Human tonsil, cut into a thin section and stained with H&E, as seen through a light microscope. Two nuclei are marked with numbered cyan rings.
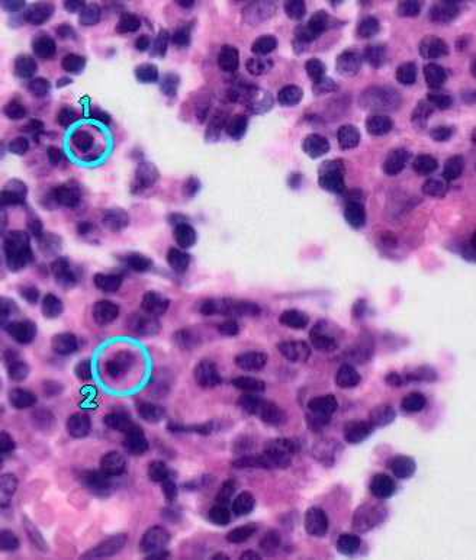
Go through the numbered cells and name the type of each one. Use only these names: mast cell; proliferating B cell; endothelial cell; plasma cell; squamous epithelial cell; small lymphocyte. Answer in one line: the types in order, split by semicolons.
small lymphocyte; plasma cell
